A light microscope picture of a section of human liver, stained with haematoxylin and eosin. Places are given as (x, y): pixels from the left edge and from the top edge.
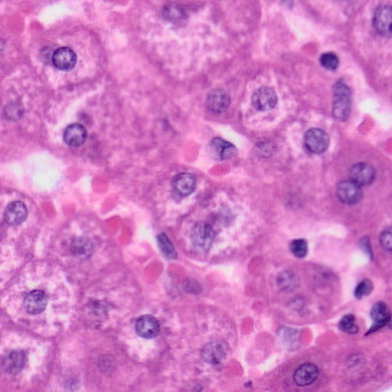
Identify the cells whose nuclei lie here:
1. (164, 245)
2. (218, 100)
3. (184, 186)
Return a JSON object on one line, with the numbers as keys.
{"1": "endothelial cell", "2": "hepatocyte", "3": "hepatocyte"}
